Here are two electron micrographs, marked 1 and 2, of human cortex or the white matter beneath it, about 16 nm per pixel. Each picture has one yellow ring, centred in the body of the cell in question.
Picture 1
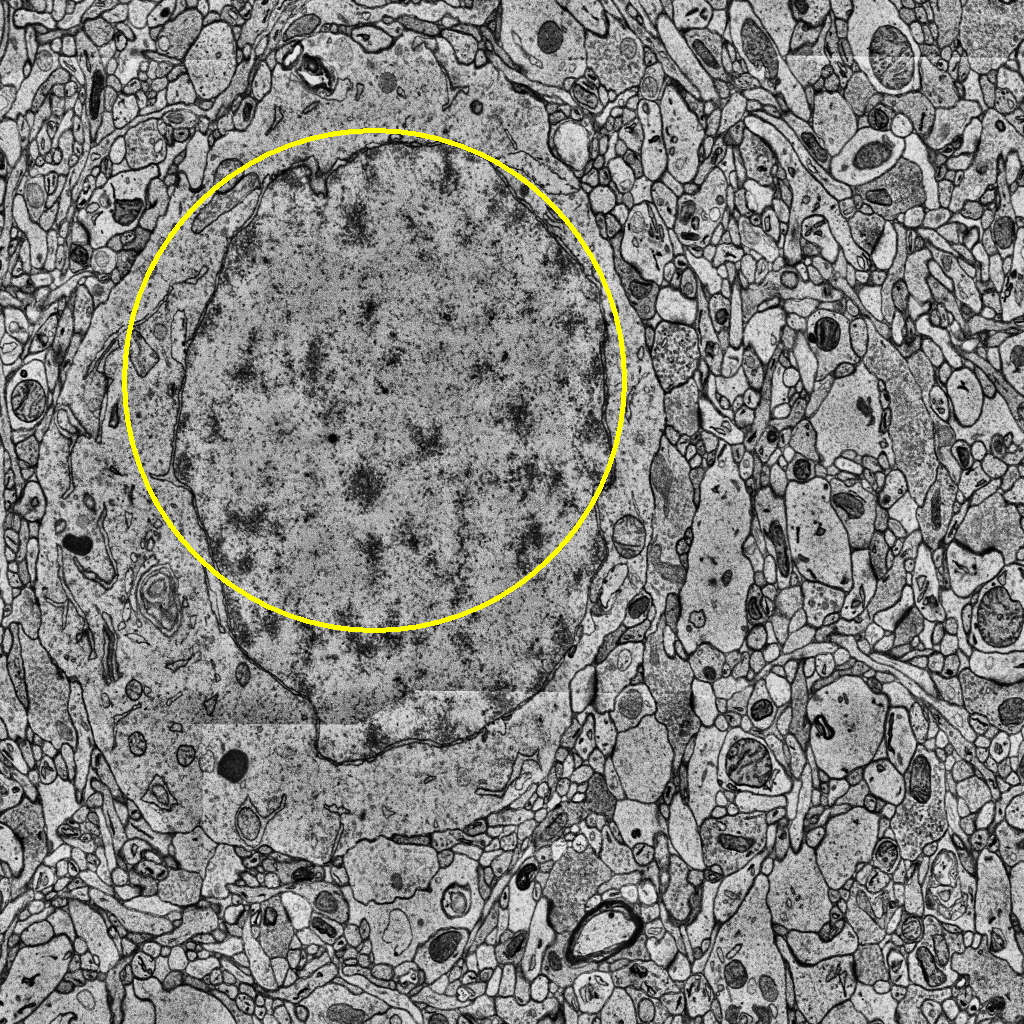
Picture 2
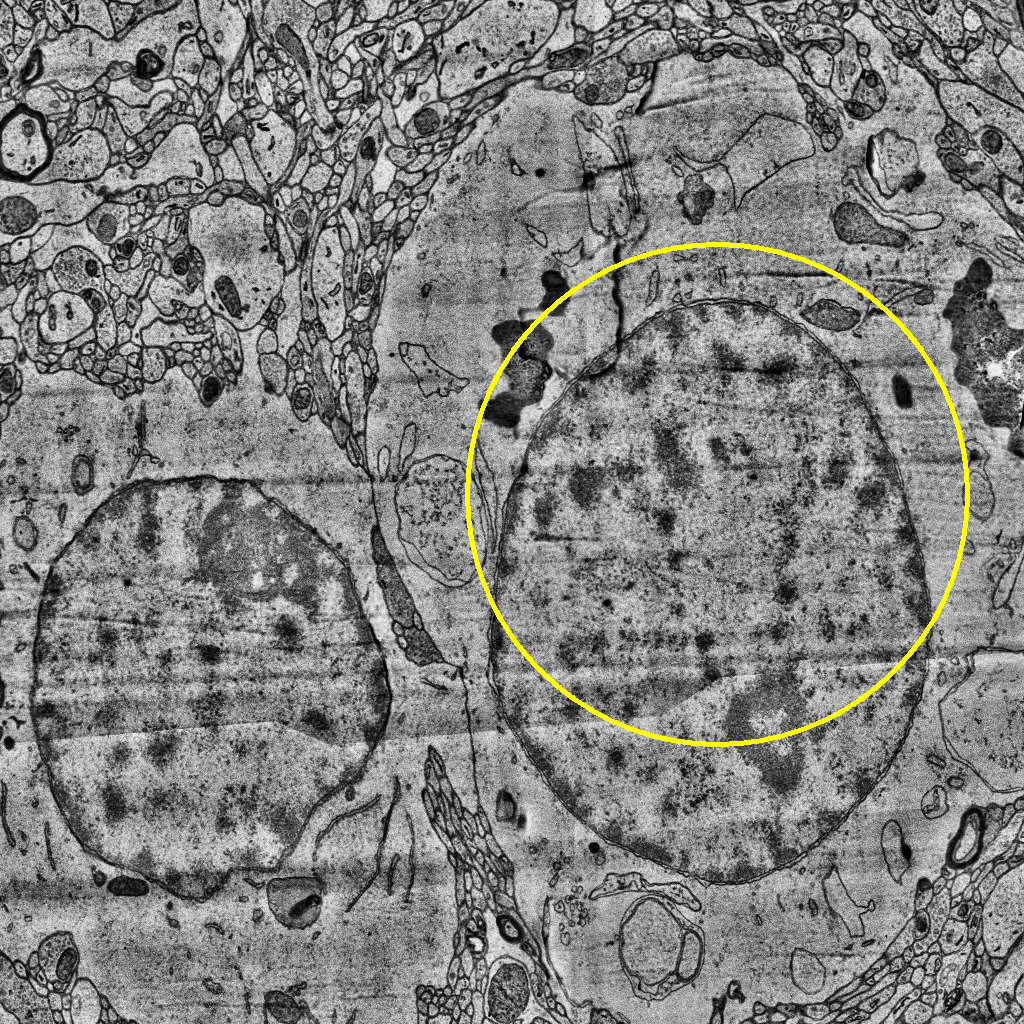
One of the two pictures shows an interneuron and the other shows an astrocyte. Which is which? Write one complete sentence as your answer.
Picture 2 shows an astrocyte, while picture 1 shows an interneuron.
